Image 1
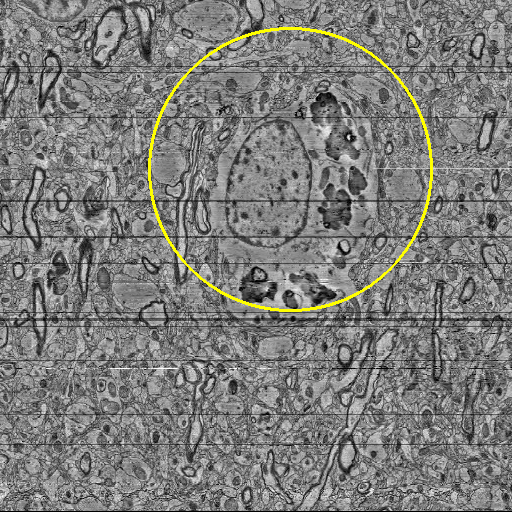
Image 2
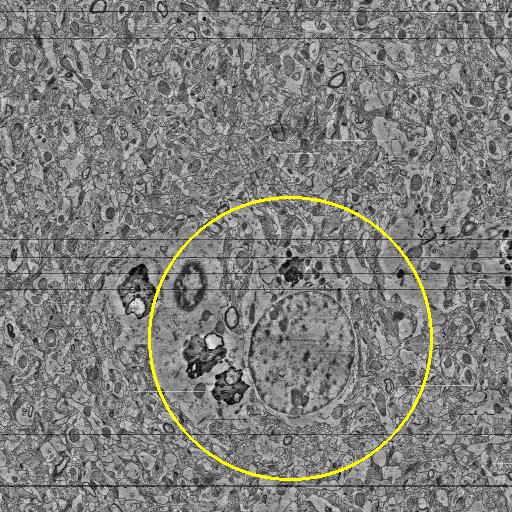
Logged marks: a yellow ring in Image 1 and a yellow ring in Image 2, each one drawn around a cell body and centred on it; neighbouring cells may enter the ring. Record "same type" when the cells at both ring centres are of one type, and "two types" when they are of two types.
same type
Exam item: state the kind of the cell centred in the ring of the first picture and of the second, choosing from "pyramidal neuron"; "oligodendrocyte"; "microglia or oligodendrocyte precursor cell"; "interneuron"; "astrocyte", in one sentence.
In both pictures the ring is centred on an astrocyte.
